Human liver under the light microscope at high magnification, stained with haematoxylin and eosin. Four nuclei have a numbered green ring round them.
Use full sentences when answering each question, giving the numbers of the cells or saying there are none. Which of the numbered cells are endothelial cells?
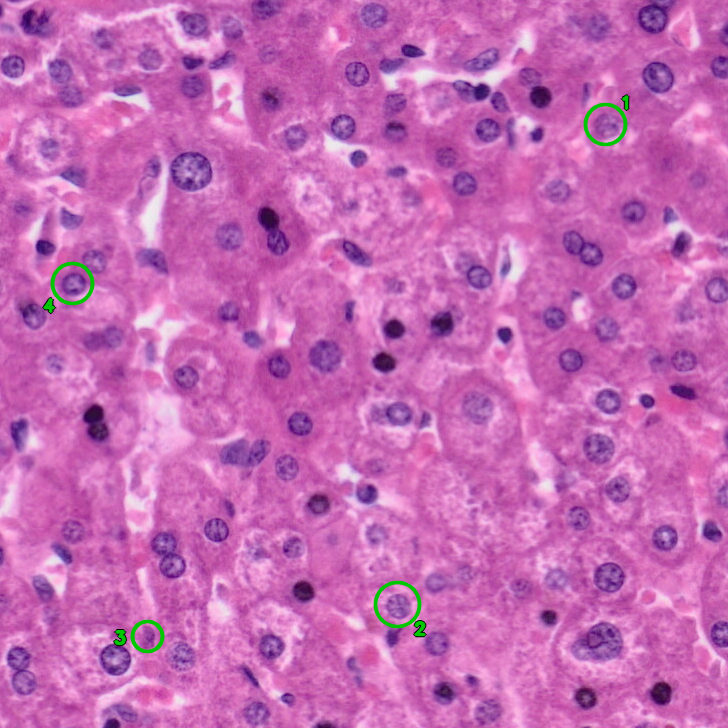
Cell 3 is an endothelial cell, while every other numbered cell is not.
